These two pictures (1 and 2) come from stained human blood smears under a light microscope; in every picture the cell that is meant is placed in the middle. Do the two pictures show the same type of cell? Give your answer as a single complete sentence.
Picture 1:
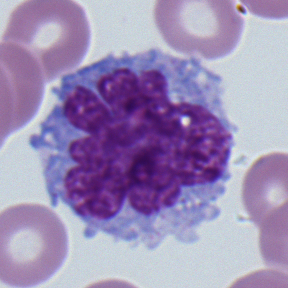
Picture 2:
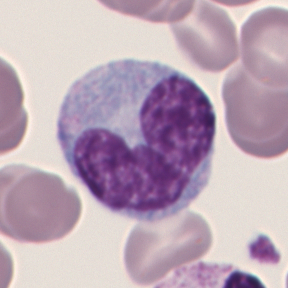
Yes, both cells are monocytes.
